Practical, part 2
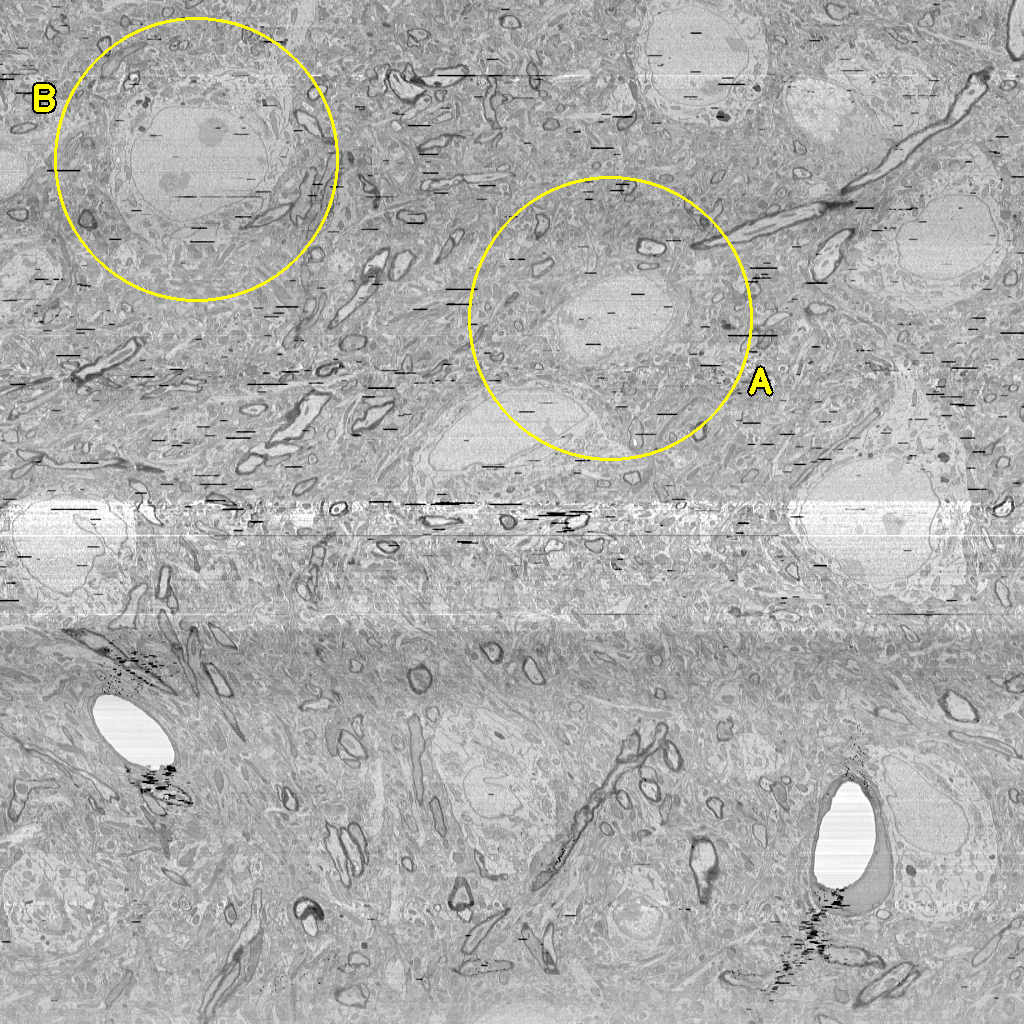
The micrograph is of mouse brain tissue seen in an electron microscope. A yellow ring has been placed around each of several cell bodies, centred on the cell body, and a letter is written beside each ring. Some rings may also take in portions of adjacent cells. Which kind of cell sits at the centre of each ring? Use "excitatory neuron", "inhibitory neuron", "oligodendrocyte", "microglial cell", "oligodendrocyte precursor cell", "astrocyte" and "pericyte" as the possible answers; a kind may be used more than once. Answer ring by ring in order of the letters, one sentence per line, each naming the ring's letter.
Ring A sits on an astrocyte.
Ring B sits on an excitatory neuron.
